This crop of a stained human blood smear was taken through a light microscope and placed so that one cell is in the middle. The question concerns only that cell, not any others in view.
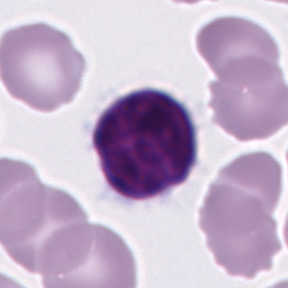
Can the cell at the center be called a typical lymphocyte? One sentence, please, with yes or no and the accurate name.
No, not a typical lymphocyte here; the centered cell is a hairy cell.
